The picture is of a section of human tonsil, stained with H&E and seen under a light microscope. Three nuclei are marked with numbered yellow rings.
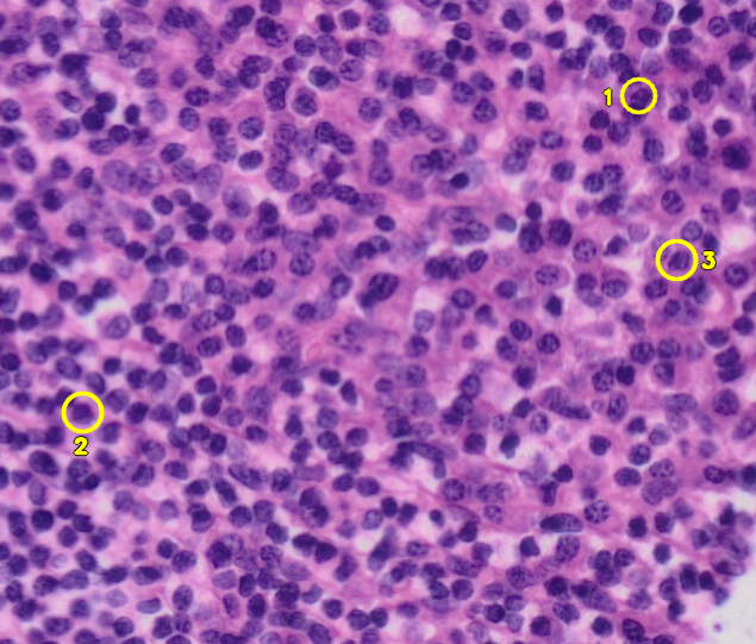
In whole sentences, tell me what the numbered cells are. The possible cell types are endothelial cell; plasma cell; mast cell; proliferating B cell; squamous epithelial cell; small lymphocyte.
Cells 1 and 3 are plasma cells. Cell 2 is a small lymphocyte.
